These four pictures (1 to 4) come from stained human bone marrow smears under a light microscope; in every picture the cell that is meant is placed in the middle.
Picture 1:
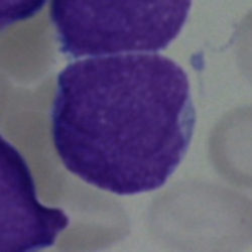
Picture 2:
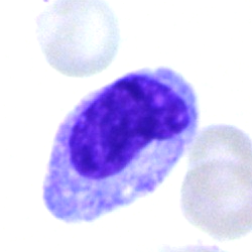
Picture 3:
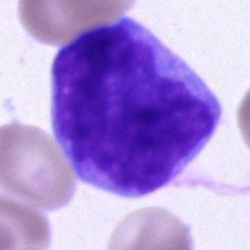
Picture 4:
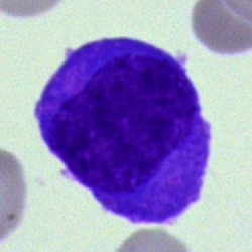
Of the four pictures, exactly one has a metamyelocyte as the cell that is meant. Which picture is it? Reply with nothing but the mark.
2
